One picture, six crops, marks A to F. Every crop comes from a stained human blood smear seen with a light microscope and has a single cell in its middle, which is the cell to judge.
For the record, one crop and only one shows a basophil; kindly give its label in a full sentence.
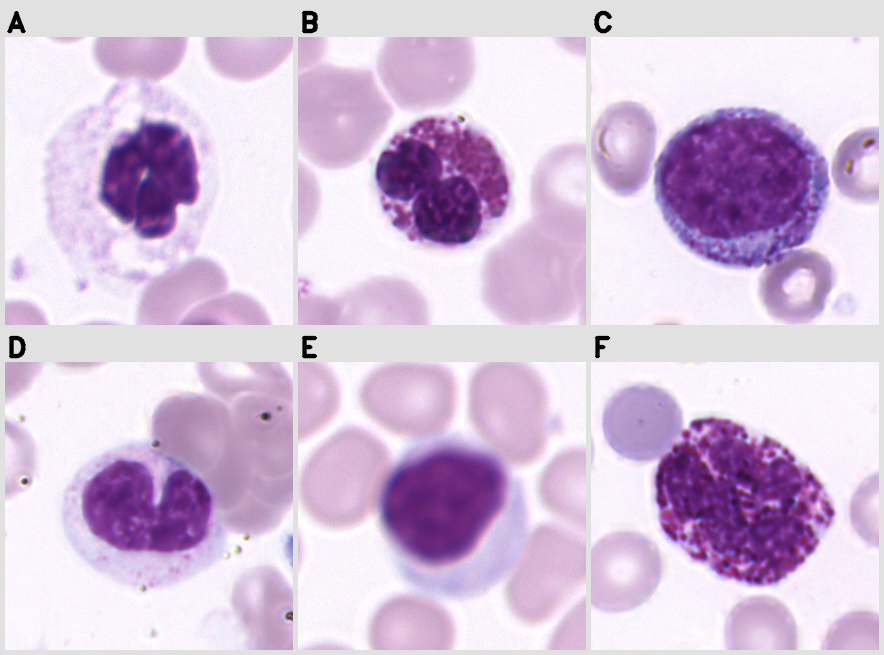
Crop F is the one that shows a basophil.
